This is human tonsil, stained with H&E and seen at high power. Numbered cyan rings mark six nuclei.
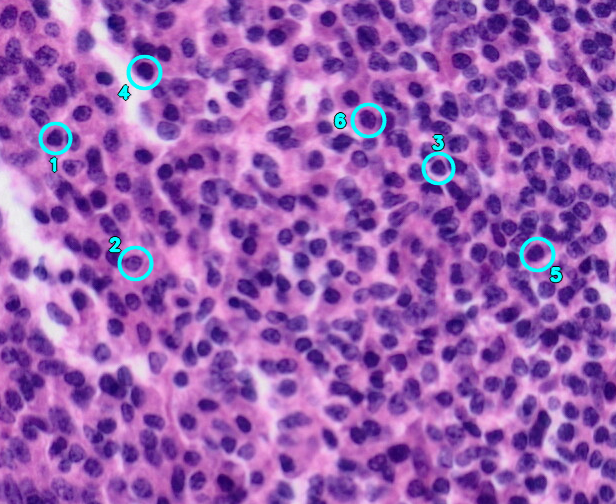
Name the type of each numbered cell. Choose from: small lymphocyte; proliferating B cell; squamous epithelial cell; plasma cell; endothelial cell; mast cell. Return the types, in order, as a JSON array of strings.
["plasma cell", "plasma cell", "small lymphocyte", "plasma cell", "small lymphocyte", "plasma cell"]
